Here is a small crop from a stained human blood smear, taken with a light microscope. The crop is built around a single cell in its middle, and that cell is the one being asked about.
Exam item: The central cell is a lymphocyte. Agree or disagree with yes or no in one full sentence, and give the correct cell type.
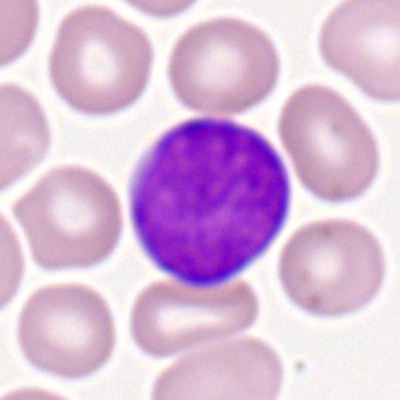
No, the cell of interest here is a myeloblast and not a lymphocyte.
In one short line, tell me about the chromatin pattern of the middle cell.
The chromatin pattern here is coarse and clumped.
